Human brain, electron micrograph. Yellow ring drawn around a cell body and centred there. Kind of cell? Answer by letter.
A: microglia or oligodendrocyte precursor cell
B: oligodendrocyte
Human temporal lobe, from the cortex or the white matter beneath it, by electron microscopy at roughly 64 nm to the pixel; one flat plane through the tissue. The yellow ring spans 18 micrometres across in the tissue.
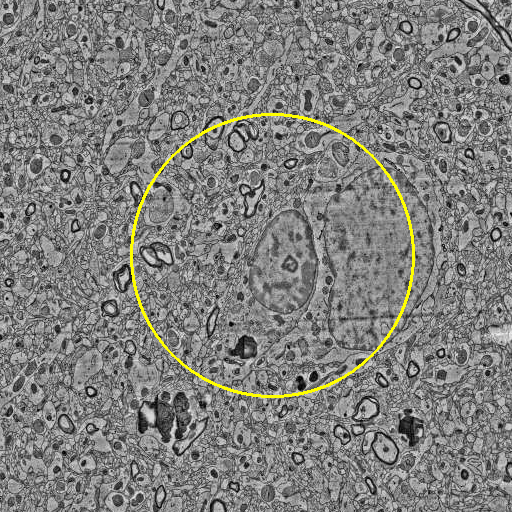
B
